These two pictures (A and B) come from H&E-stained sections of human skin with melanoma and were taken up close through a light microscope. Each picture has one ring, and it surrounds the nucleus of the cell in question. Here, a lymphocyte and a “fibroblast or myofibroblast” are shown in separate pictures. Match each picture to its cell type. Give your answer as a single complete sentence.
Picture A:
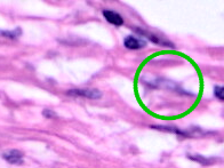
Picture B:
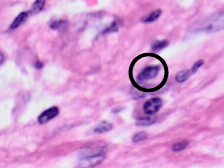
It is picture A that shows a “fibroblast or myofibroblast”, and picture B that shows a lymphocyte.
